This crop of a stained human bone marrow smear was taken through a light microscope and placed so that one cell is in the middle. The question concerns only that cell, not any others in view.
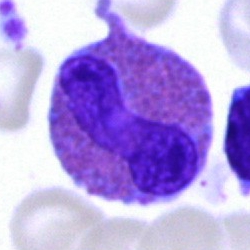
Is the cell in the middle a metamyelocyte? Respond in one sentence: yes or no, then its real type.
No, the central cell should be identified as an eosinophil, not as a metamyelocyte.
